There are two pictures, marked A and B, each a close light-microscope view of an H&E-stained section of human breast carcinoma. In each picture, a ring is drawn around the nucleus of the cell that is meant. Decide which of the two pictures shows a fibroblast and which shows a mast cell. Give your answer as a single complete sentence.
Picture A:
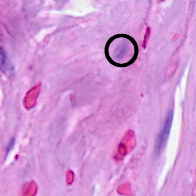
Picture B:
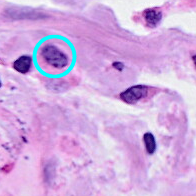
The cell in picture A is a fibroblast, and the one in picture B is a mast cell.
